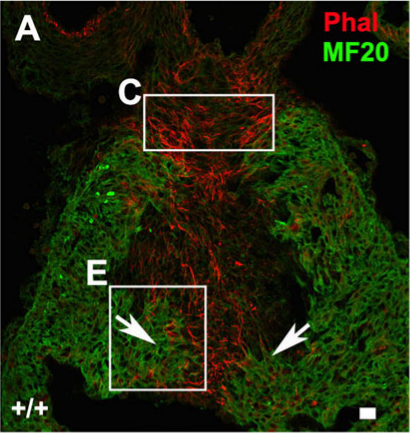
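The green myocardium forms a broad wall at the bottom and sides, made up of tightly packed cells. Two tongues of green tissue push upward into the central region from either side.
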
